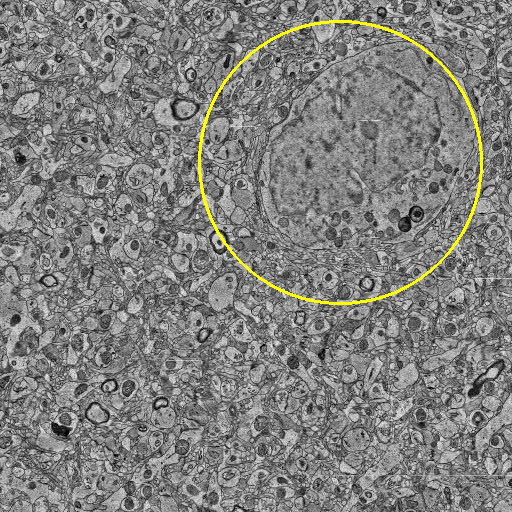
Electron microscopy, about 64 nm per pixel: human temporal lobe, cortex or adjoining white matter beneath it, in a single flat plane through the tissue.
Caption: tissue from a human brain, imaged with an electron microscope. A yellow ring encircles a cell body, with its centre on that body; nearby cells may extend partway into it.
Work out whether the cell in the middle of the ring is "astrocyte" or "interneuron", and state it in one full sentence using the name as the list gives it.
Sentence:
In the picture, the cell that the yellow ring surrounds at its centre is an interneuron.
